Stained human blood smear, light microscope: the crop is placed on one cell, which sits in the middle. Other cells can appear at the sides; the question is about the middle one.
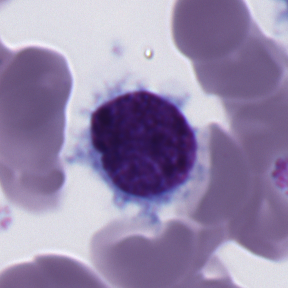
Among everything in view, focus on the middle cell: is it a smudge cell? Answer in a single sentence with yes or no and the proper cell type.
No, instead of being a smudge cell, the middle cell is a hairy cell.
